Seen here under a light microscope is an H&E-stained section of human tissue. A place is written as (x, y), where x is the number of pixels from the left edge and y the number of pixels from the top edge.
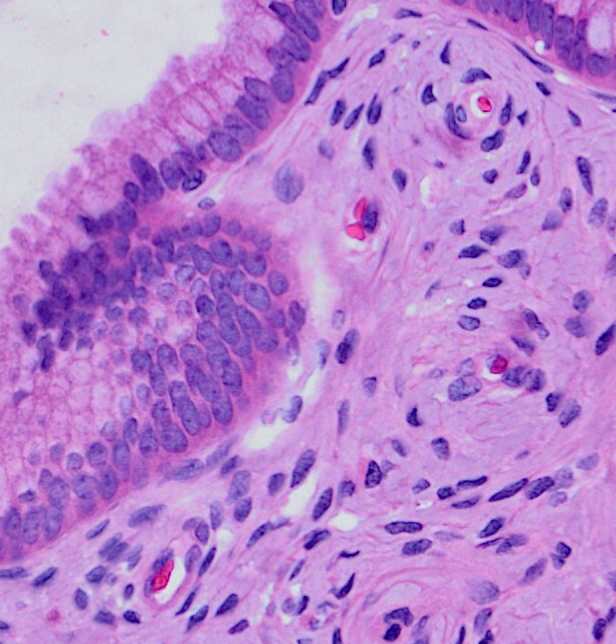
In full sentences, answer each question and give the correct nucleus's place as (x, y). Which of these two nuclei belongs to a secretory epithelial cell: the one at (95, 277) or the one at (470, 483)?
So, of the two, the nucleus at (95, 277) is the one belonging to a secretory epithelial cell.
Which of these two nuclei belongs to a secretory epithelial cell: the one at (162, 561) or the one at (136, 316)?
The nucleus at (136, 316) is identified as belonging to a secretory epithelial cell.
